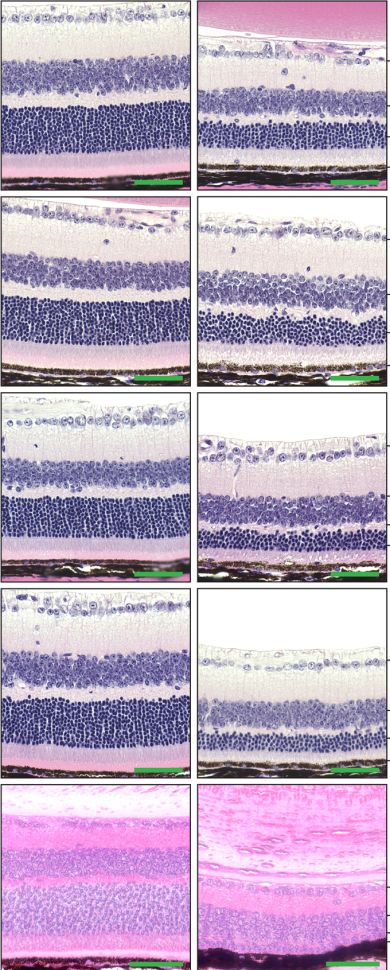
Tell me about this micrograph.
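In the left column the outer nuclear layer is a thick band of many rows of small, round, densely packed, dark purple nuclei, clearly thicker than the inner nuclear layer above it. The pale pink zone between the outer nuclear layer and the pigmented epithelium is also narrower in the right column.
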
